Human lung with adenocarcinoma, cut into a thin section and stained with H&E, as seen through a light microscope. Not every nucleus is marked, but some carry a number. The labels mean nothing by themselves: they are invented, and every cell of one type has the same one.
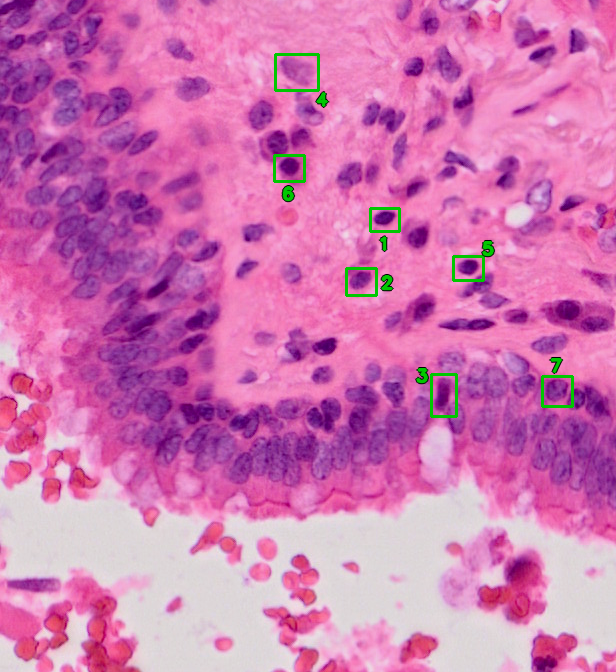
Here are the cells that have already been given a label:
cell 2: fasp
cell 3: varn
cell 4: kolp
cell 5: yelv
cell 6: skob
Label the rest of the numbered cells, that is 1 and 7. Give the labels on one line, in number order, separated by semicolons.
fasp; varn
